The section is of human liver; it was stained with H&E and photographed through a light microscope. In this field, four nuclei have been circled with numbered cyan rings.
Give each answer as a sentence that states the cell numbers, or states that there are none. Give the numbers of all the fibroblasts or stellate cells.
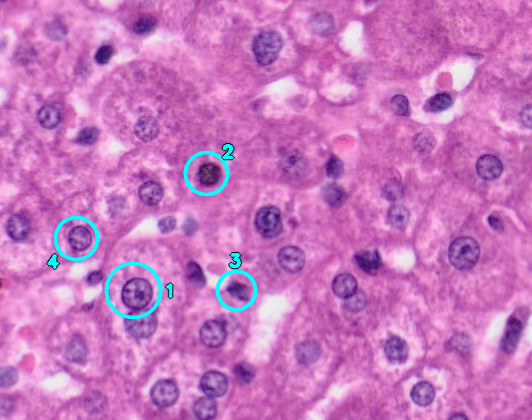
Only the nucleus marked 3 is that of a fibroblast or stellate cell.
